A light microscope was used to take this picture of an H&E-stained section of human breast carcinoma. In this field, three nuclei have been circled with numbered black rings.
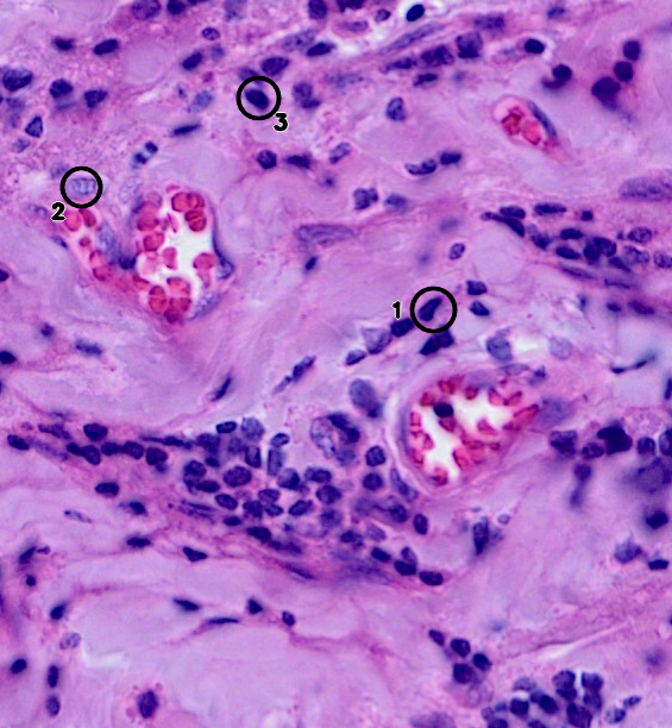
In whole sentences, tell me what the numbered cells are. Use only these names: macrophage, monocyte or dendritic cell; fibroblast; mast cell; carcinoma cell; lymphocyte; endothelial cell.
Cell 1 is a lymphocyte, cell 2 is an endothelial cell and cell 3 is a lymphocyte.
